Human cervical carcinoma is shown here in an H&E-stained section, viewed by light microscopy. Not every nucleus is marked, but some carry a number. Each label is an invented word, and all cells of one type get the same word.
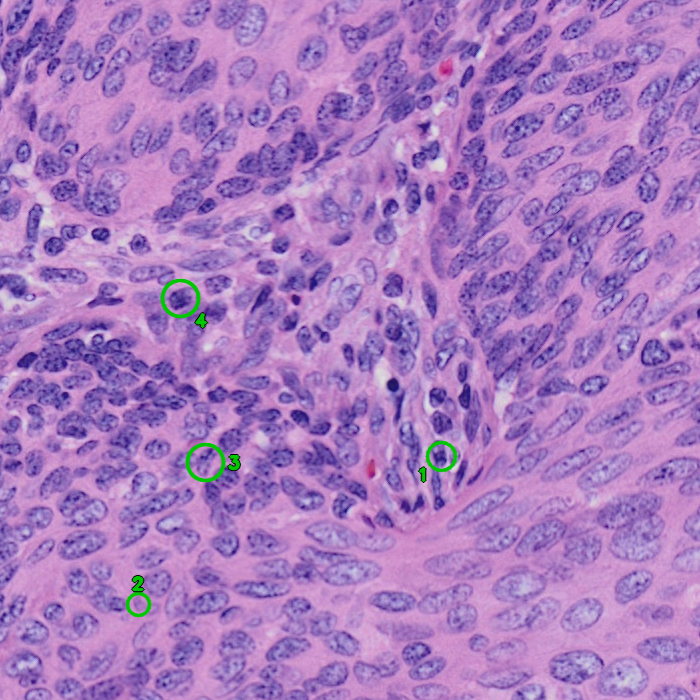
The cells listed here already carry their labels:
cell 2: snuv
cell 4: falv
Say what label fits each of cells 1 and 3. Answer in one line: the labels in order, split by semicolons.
falv; snuv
